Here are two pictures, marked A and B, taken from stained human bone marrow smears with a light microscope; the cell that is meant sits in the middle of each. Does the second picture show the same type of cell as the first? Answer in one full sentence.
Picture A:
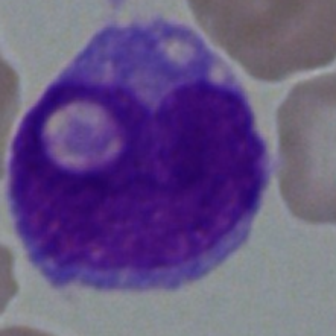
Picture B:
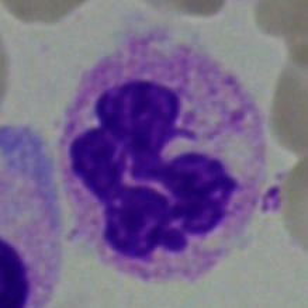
No, the types are not the same, since picture A shows a monocyte and picture B a segmented neutrophil.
